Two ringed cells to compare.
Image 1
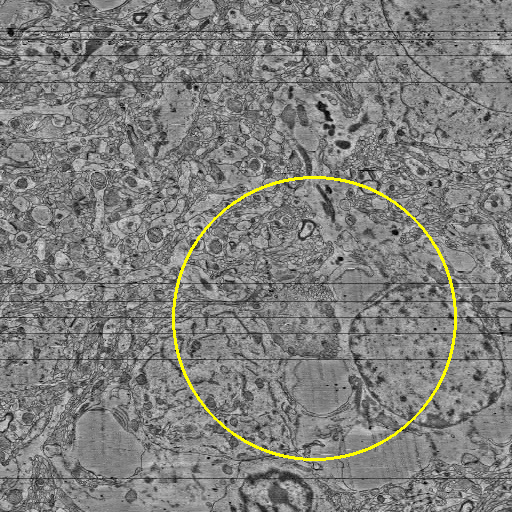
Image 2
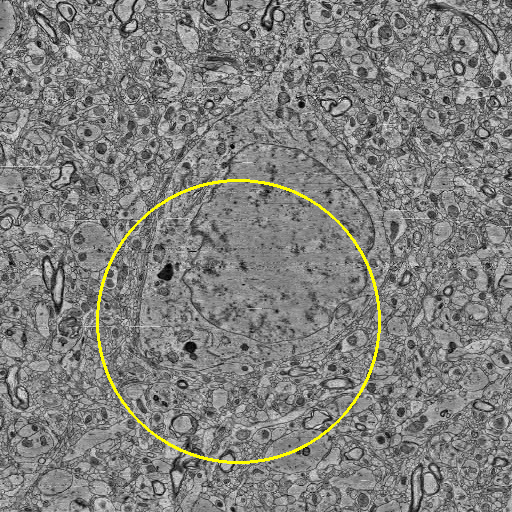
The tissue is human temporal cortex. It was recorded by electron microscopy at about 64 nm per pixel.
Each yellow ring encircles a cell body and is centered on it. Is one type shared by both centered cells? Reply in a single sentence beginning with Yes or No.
No, two types are found among the cells at the centers of the rings.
